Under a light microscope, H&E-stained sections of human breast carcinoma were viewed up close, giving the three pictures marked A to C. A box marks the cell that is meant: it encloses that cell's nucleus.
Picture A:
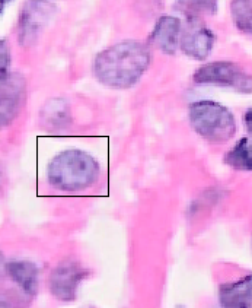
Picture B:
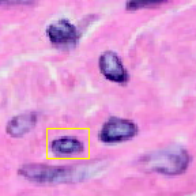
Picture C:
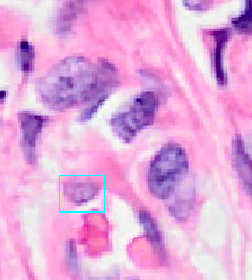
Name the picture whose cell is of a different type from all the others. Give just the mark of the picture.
A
